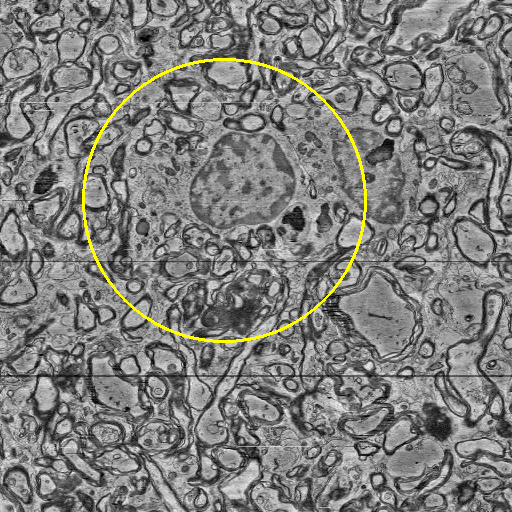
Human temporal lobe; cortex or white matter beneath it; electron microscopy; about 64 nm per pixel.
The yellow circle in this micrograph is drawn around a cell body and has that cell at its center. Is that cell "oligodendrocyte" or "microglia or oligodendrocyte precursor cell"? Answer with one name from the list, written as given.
microglia or oligodendrocyte precursor cell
